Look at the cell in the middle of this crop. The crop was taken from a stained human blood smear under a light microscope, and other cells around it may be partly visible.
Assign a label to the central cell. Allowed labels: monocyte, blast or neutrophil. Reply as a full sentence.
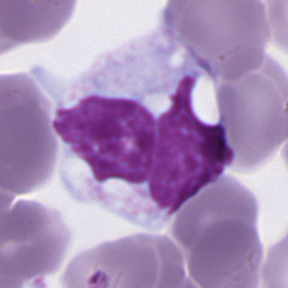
As for the cell in the middle, it is a monocyte.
